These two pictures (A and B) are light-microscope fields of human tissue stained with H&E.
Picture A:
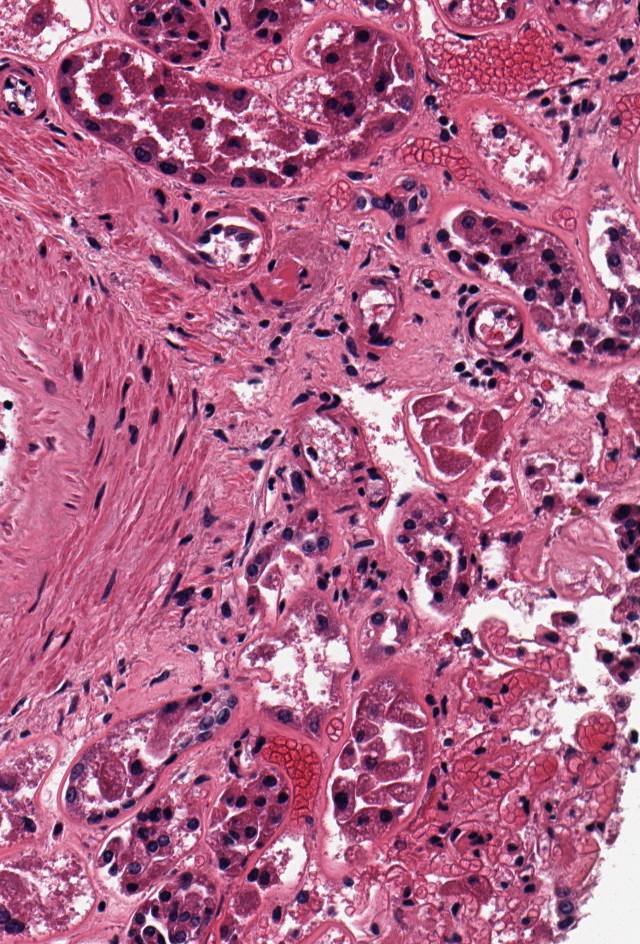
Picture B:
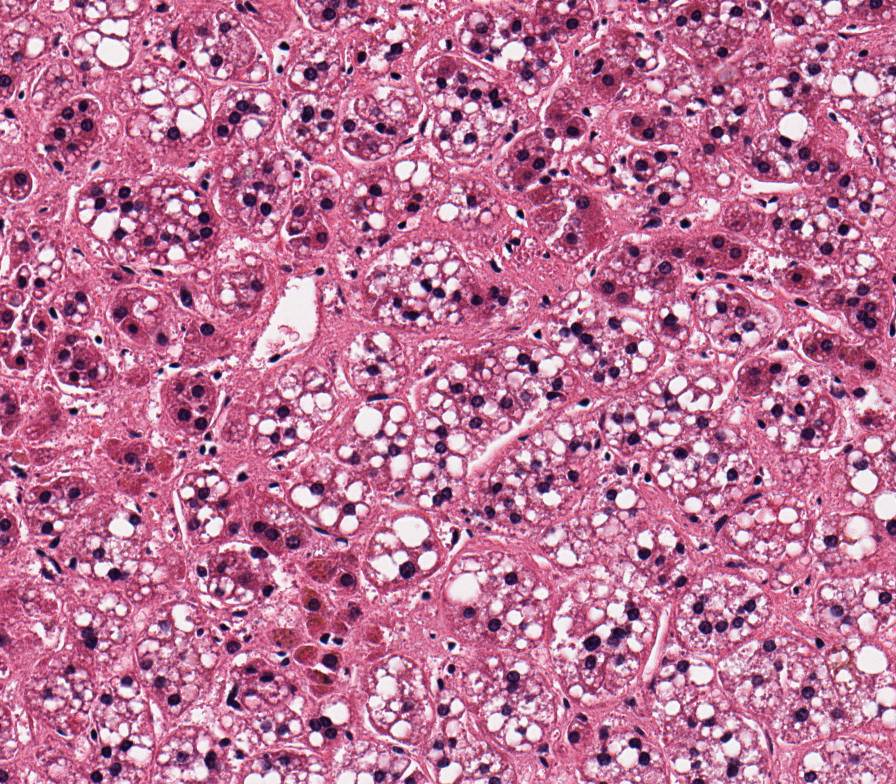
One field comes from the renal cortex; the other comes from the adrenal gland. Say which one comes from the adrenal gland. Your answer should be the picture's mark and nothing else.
B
